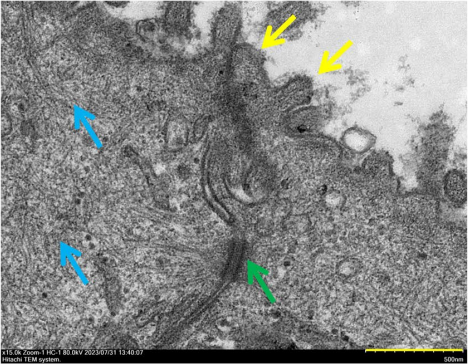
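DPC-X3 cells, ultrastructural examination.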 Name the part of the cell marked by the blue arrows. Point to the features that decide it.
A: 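Bundles of fine parallel filaments run through the cytoplasm. The answer: tension fibrils.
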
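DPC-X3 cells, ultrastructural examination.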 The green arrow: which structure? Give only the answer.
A: Desmosome.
